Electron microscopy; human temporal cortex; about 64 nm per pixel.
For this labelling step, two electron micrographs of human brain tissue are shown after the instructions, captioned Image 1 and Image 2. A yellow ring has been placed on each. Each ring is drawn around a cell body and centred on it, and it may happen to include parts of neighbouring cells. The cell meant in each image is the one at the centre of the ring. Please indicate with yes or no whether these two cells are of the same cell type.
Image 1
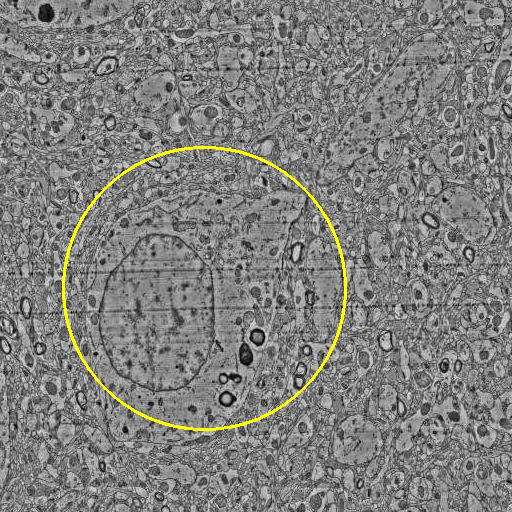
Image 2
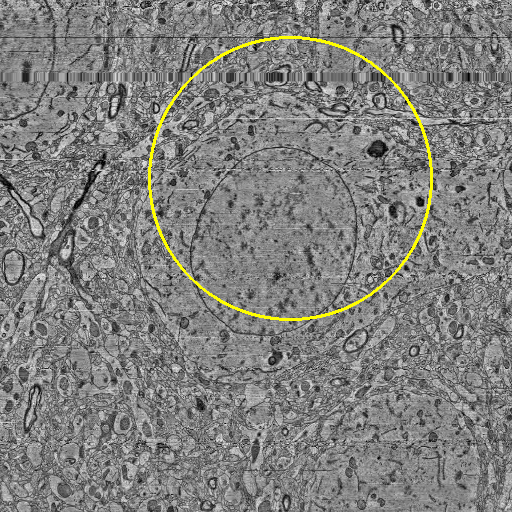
yes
